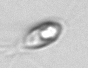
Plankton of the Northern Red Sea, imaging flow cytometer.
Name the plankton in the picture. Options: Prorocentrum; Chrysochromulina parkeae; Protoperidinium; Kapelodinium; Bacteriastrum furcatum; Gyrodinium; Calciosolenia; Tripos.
Chrysochromulina parkeae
